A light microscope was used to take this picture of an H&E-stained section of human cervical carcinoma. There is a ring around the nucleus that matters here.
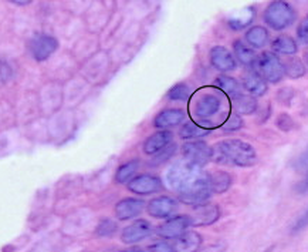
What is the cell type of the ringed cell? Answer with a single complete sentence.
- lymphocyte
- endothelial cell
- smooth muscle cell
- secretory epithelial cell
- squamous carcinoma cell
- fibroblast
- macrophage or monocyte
By cell type, the ringed cell is a secretory epithelial cell.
